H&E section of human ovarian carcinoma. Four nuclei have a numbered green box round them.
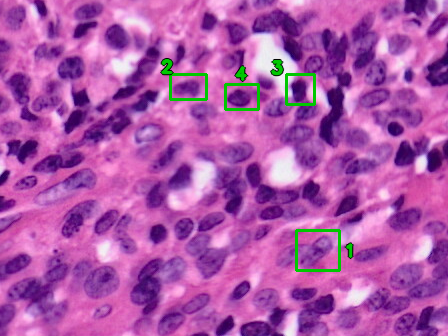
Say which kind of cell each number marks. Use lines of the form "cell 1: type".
cell 1: endothelial cell
cell 2: macrophage or monocyte
cell 3: carcinoma cell
cell 4: macrophage or monocyte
